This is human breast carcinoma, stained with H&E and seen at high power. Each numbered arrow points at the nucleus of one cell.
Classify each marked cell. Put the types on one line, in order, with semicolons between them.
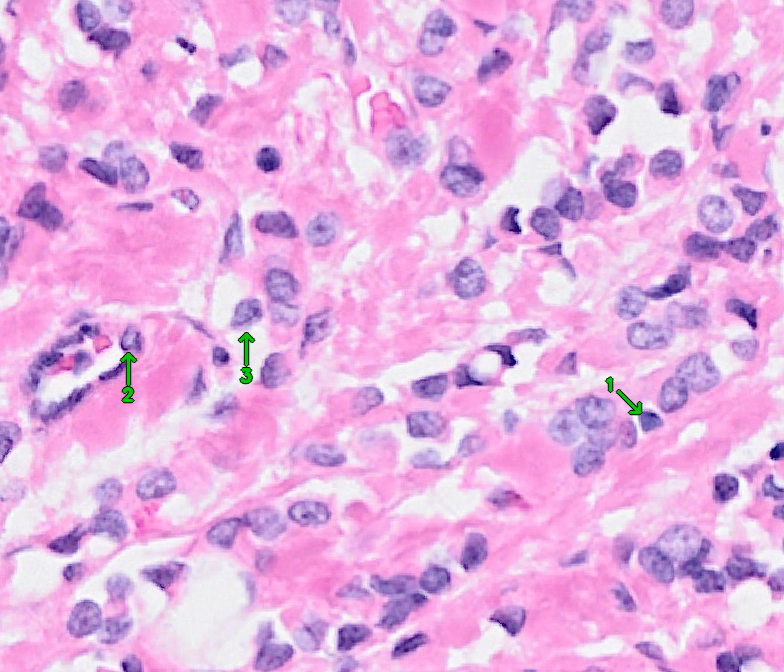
lymphocyte; endothelial cell; carcinoma cell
